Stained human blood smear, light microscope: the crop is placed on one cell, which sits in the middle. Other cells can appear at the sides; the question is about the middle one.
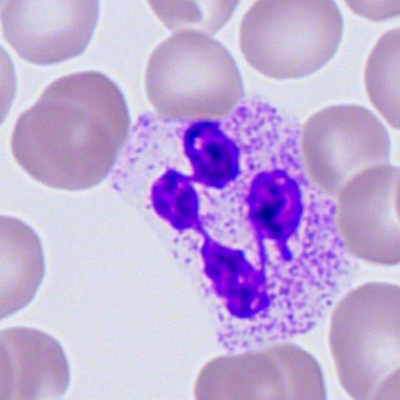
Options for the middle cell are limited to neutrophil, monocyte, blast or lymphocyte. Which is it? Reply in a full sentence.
This particular crop is centered on a neutrophil.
